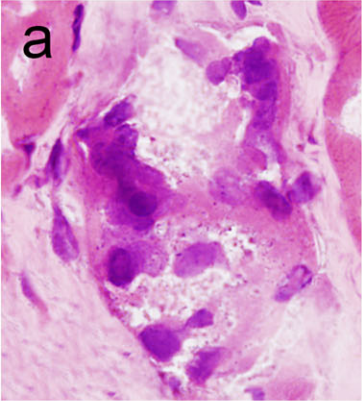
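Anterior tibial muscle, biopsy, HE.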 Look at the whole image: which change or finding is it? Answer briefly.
Rimmed vacuoles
